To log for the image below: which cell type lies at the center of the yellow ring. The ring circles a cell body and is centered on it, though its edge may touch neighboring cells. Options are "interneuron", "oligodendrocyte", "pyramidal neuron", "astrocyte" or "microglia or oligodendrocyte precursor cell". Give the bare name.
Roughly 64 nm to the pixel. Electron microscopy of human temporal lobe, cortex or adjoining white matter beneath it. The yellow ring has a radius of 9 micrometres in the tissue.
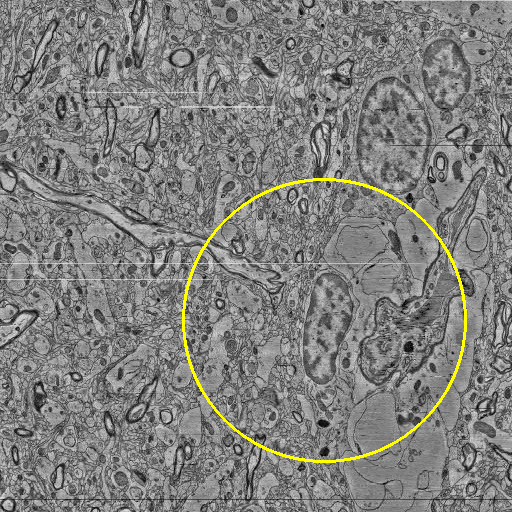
microglia or oligodendrocyte precursor cell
